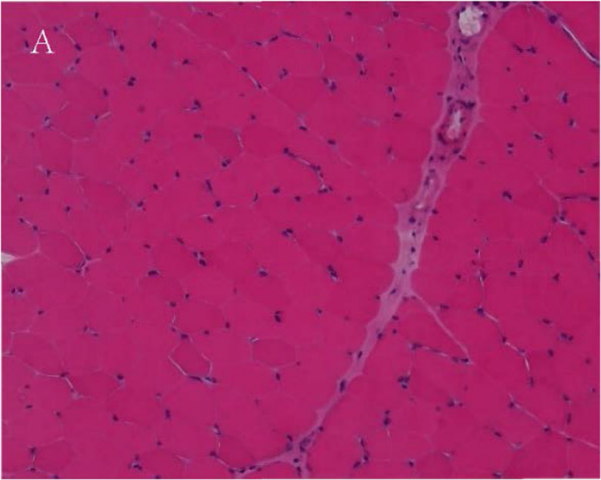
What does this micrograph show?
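Cross-sectioned skeletal muscle fibers fill the field as closely packed pink polygons of fairly even size, each with small dark nuclei at its edge rather than in its centre. A band of paler connective tissue carrying small vessels runs diagonally across the field between fascicles. No pale, fragmented or invaded fibers and no bluish small fibers are seen, so there is no sign of degeneration, necrosis or regeneration.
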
